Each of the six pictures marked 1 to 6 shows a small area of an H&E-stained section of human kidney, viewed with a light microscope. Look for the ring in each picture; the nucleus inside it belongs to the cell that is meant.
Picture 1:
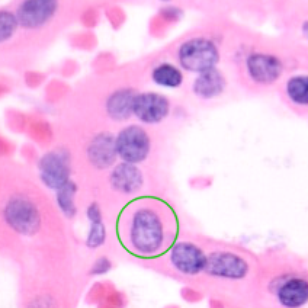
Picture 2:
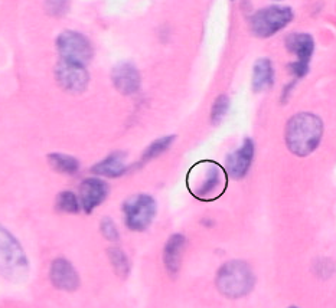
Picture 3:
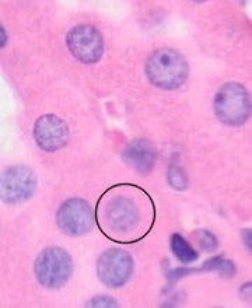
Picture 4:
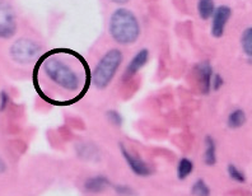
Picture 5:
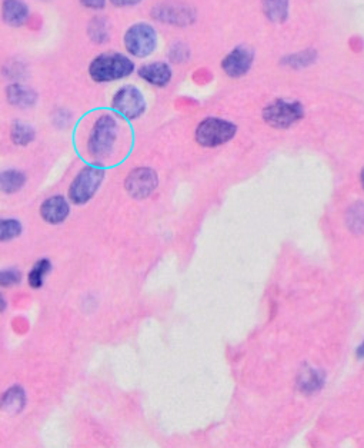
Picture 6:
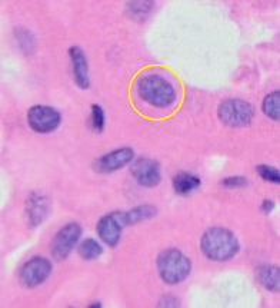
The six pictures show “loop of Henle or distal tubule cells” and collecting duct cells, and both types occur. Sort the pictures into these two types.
1: collecting duct cell
2: collecting duct cell
3: loop of Henle or distal tubule cell
4: collecting duct cell
5: collecting duct cell
6: loop of Henle or distal tubule cell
